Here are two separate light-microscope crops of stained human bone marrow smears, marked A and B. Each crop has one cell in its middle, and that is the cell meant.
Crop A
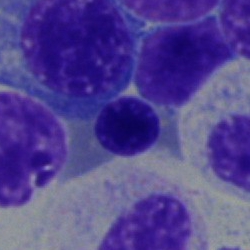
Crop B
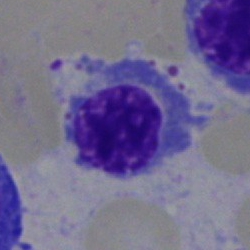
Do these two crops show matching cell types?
yes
